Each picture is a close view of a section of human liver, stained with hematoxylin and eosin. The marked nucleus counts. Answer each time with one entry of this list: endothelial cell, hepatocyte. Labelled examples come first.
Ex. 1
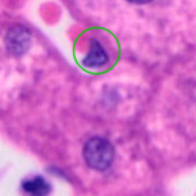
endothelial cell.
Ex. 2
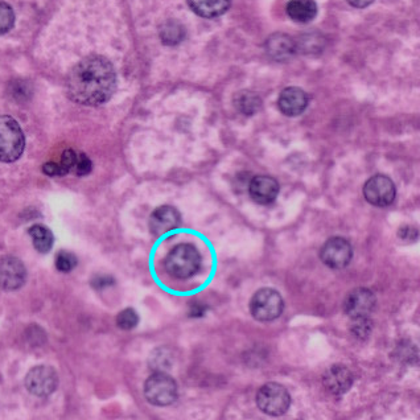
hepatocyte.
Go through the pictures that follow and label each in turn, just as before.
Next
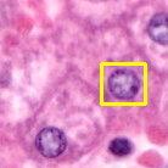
hepatocyte.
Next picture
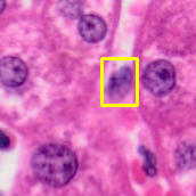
endothelial cell.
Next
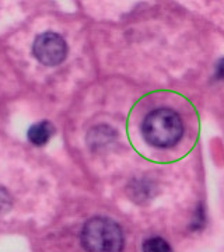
hepatocyte.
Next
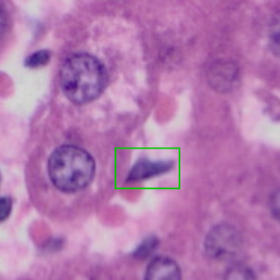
endothelial cell.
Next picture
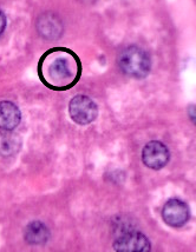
endothelial cell.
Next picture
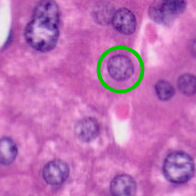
hepatocyte.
